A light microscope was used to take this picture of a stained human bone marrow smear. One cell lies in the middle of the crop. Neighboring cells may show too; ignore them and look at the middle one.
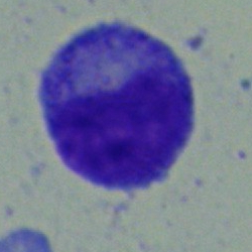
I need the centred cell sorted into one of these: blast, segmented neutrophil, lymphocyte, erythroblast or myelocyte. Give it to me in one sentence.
The cell in the middle of the field of view is a myelocyte.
